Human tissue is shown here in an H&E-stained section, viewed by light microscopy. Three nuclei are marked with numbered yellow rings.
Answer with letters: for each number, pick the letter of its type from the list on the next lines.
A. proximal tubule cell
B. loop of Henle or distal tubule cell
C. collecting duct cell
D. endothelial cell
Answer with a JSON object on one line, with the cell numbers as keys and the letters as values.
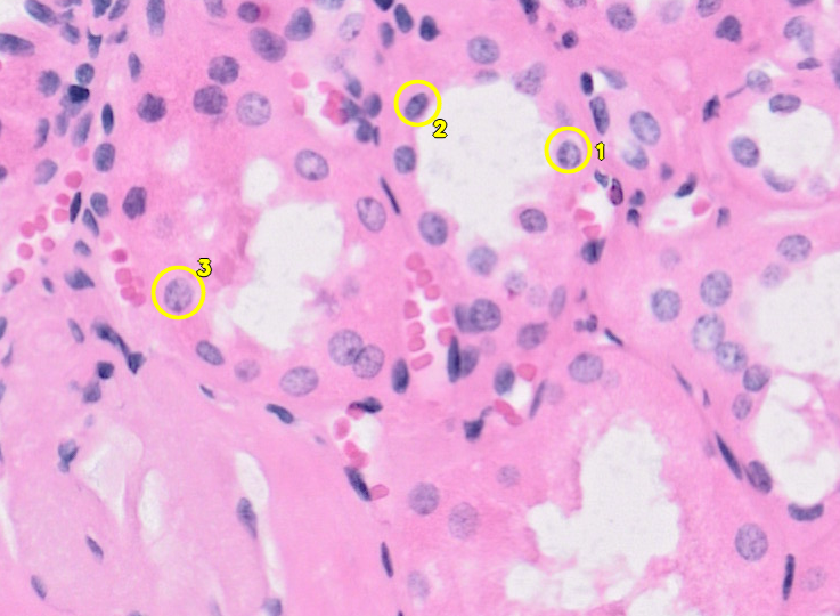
{"1": "B", "2": "B", "3": "A"}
